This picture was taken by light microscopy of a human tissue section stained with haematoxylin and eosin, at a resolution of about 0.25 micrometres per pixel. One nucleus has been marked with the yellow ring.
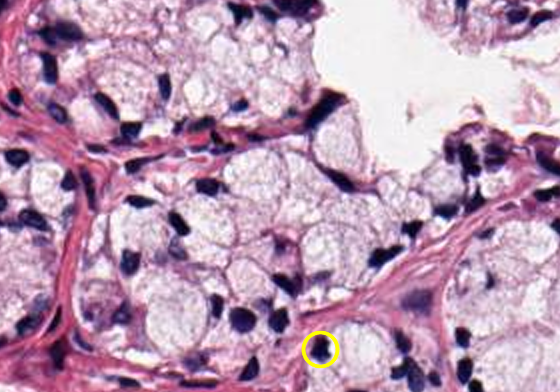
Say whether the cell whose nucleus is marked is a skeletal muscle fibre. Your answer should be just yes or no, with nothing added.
no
